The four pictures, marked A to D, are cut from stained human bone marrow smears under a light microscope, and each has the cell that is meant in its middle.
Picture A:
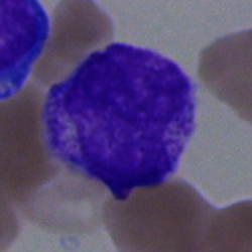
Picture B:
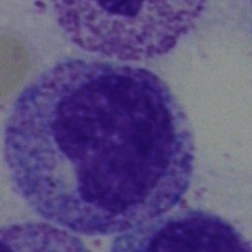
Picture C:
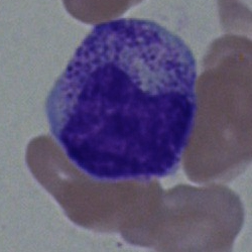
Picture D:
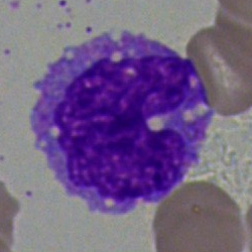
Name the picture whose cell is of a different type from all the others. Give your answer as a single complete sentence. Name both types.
All pictures except D show myelocytes; picture D shows a monocyte.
